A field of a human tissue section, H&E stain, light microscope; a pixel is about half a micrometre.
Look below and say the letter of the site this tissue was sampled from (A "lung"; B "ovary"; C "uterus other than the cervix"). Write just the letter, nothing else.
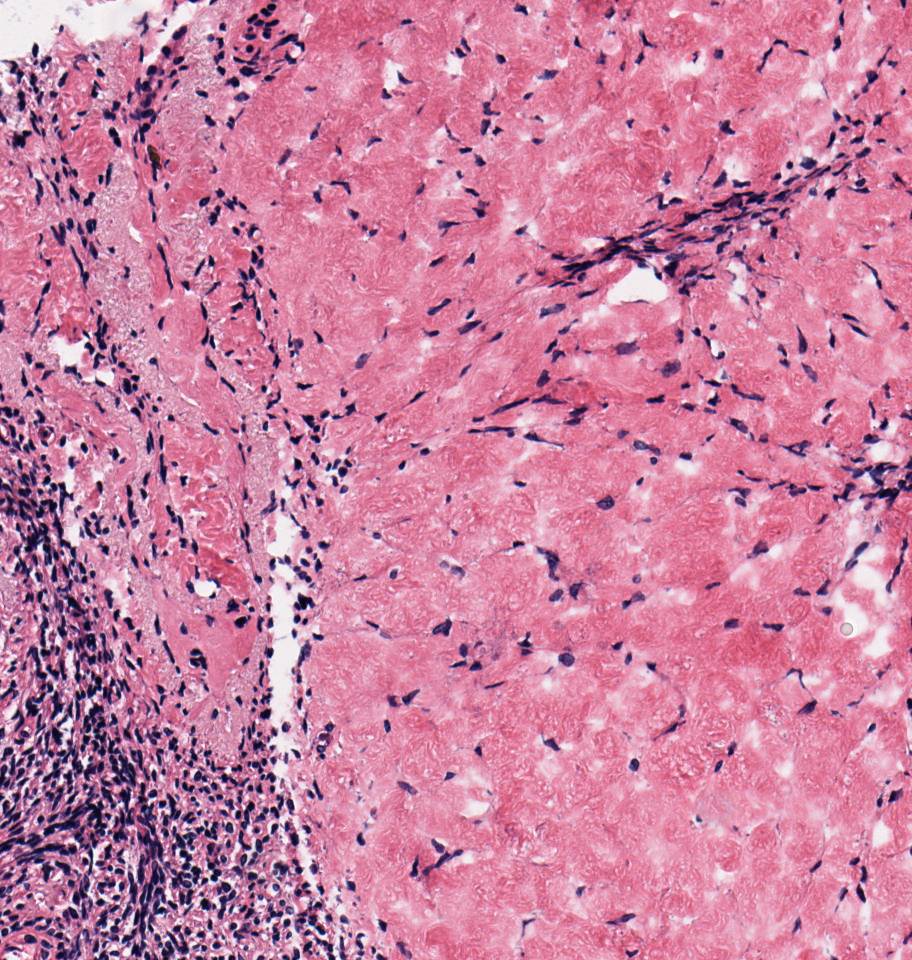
B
